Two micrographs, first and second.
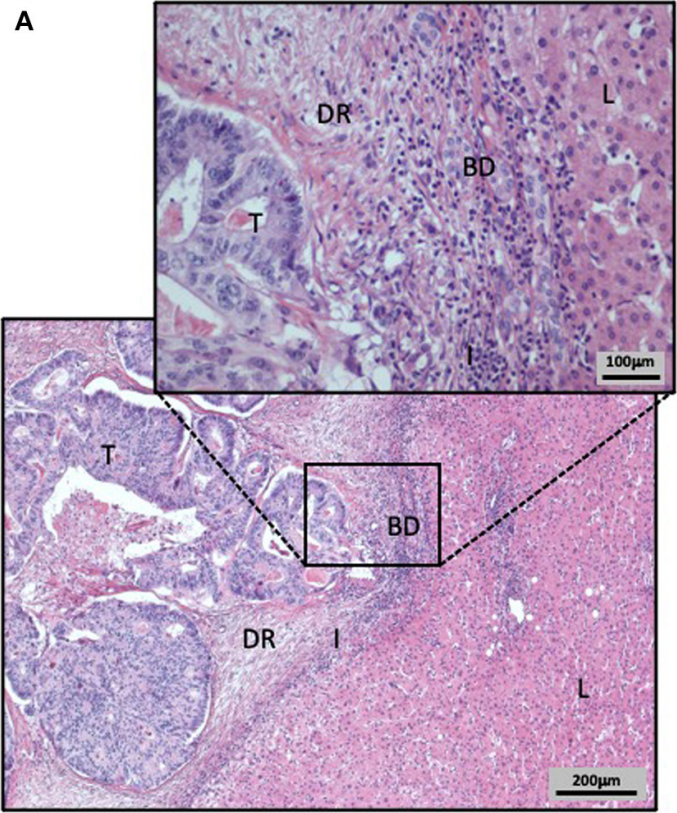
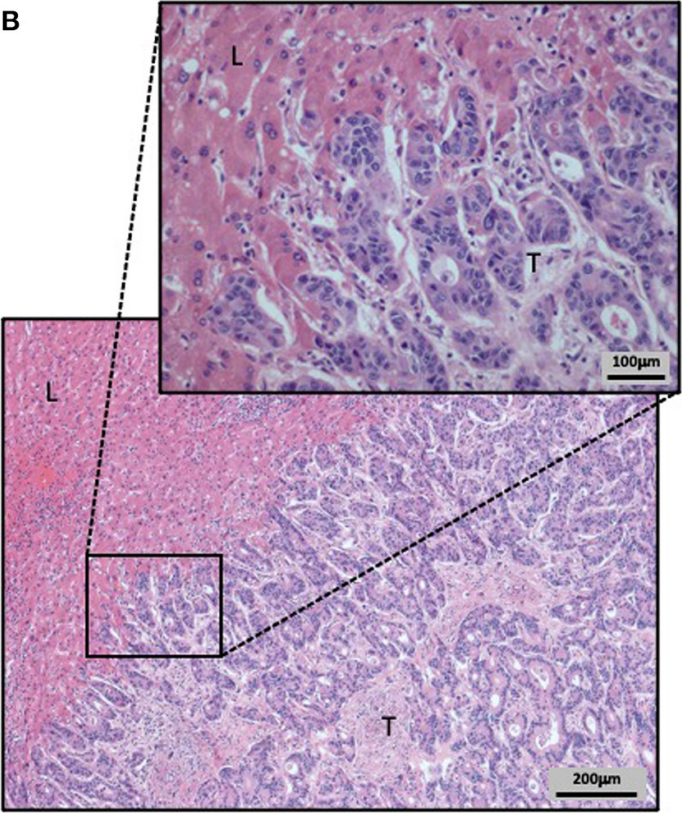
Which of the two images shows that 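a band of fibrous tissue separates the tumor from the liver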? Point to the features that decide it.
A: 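Second image: tumor cell nests abut hepatocytes directly with no intervening fibrous band. First image: a pale fibrous band with inflammatory cells lies between the tumor glands and the hepatocytes. On this evidence: the first image.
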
